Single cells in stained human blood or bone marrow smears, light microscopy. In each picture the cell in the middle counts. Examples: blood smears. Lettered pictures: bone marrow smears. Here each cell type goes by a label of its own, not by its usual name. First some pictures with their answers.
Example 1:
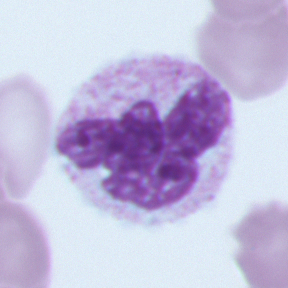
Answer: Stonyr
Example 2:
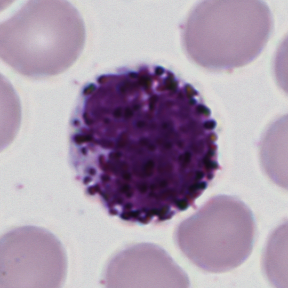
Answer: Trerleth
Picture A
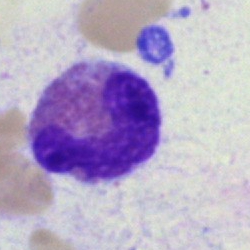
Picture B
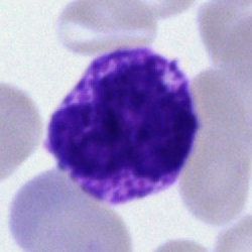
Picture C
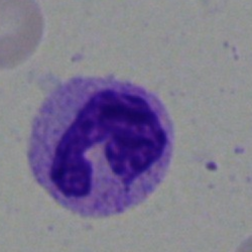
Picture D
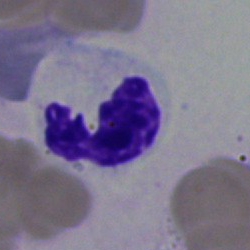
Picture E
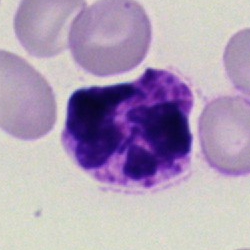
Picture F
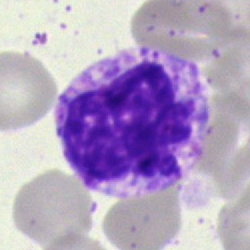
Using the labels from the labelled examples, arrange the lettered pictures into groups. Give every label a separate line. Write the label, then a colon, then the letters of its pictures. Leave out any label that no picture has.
Stonyr: C, D
Trerleth: A, B, E, F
